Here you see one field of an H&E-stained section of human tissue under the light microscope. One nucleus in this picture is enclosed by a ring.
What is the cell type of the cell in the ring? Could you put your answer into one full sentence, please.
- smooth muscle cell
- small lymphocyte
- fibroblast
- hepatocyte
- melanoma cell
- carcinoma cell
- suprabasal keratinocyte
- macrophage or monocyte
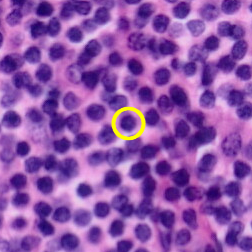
The classification of the cell in the ring is as a small lymphocyte.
